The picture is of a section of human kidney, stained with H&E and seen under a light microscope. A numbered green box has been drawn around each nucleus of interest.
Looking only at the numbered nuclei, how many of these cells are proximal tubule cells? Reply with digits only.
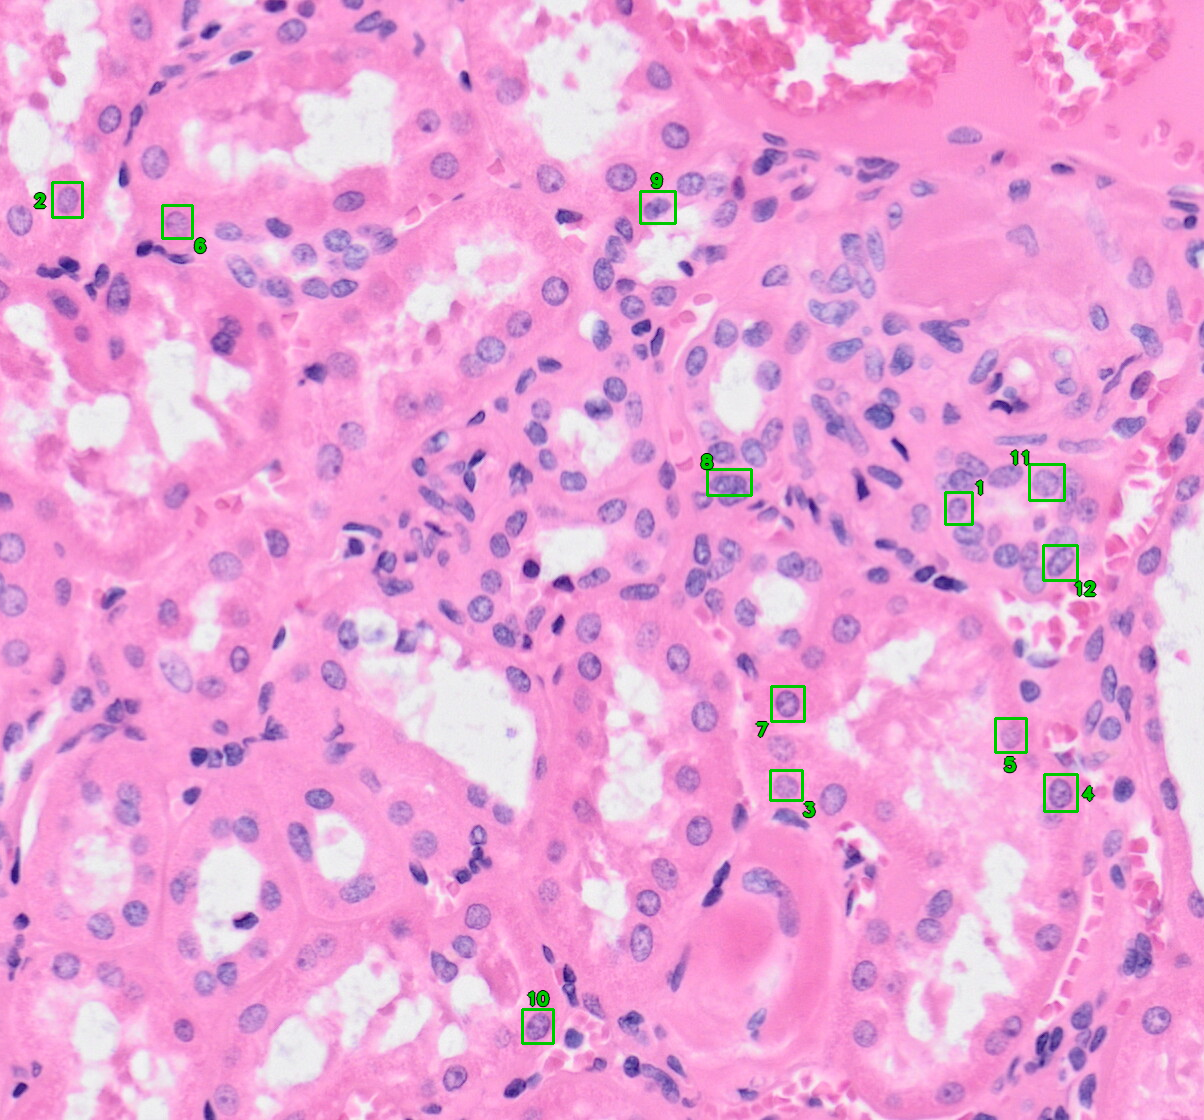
7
